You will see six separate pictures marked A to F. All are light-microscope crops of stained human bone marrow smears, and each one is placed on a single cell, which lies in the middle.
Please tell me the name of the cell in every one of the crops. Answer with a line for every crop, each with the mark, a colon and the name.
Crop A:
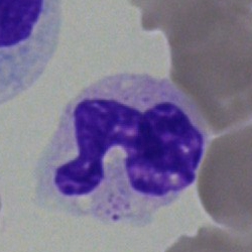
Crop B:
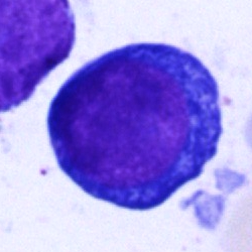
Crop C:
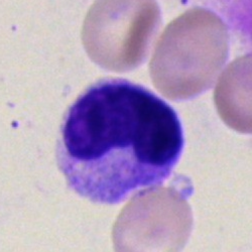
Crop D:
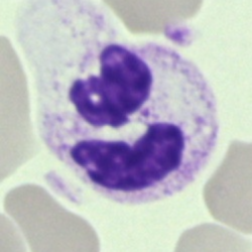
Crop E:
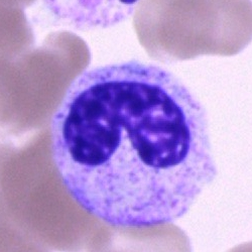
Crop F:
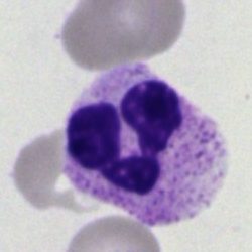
A: segmented neutrophil
B: proerythroblast
C: band neutrophil
D: segmented neutrophil
E: band neutrophil
F: segmented neutrophil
